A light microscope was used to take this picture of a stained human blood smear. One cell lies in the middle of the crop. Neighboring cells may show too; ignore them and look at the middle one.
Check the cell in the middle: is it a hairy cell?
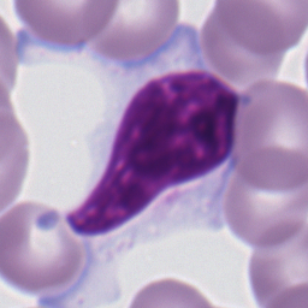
no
